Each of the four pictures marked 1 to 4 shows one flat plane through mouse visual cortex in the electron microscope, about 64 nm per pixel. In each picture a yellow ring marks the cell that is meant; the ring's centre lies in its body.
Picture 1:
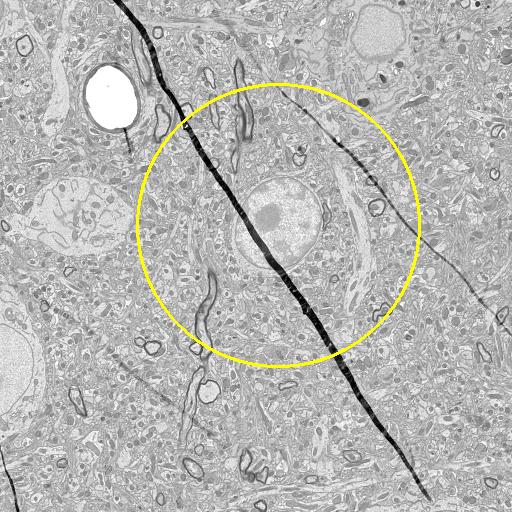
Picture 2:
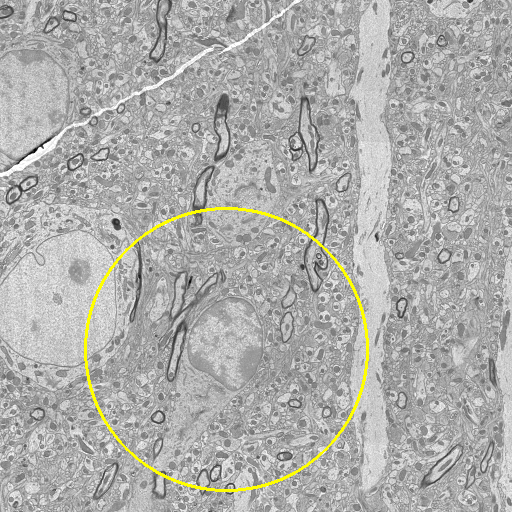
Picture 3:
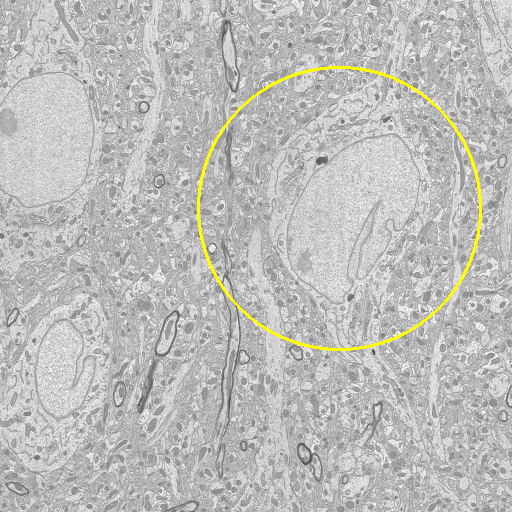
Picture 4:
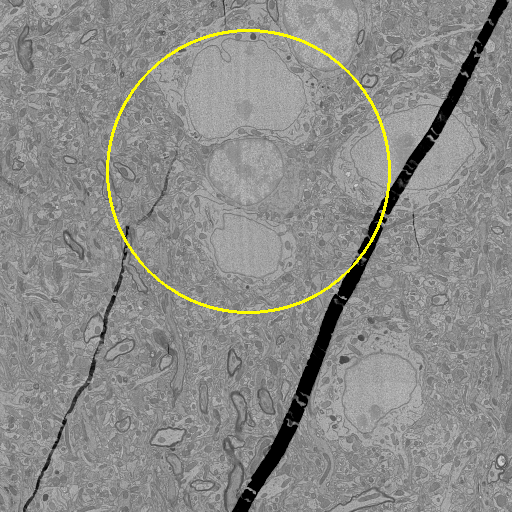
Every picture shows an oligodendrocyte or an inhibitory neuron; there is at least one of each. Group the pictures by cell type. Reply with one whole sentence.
Pictures 1, 2 and 4 show oligodendrocytes, while picture 3 shows an inhibitory neuron.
